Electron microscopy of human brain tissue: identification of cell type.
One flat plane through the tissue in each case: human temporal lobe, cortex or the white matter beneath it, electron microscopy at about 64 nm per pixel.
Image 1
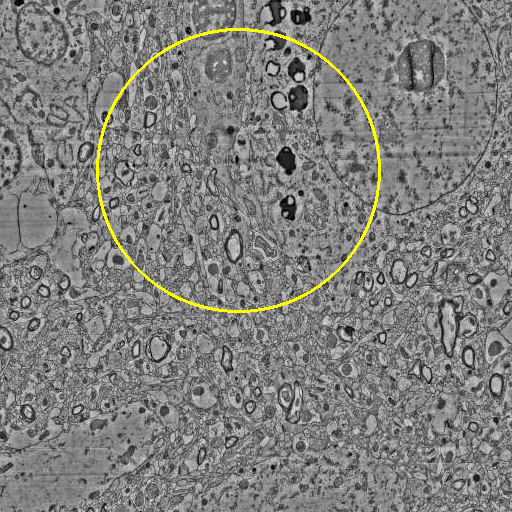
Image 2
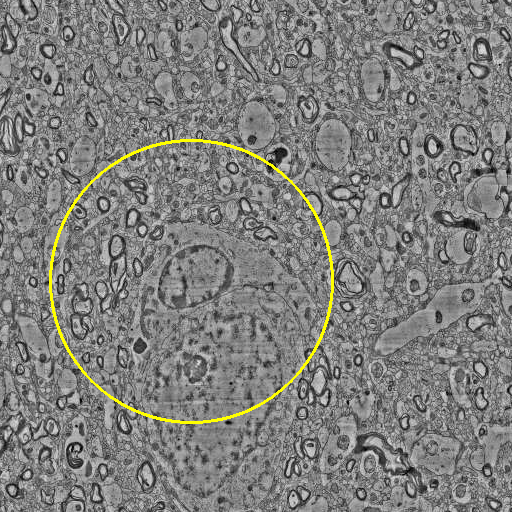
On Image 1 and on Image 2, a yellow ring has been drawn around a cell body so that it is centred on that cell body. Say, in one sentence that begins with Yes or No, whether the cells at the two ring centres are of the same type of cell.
No, the two cells are two separate types of cell.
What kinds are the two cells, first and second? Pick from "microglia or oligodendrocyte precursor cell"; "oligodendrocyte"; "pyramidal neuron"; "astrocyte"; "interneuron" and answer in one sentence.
The second picture holds a microglial cell or oligodendrocyte precursor cell in its ring, and the first holds an oligodendrocyte.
